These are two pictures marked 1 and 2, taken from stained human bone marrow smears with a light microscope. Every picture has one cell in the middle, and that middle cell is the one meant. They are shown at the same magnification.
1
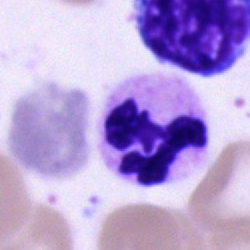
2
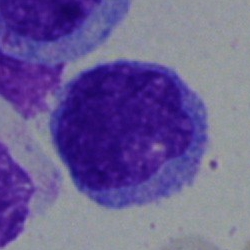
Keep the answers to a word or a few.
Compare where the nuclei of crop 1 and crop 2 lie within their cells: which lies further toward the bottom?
1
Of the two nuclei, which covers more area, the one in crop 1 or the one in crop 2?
2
